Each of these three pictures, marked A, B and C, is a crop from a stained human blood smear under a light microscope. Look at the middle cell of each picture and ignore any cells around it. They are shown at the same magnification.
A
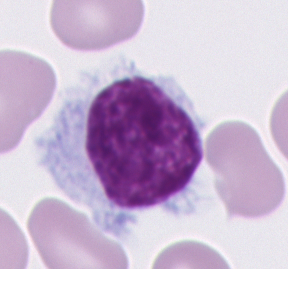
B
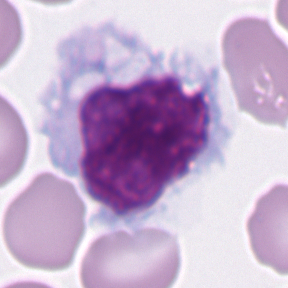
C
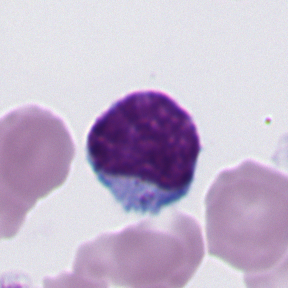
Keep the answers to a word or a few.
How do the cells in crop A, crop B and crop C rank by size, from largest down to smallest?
B, A, C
